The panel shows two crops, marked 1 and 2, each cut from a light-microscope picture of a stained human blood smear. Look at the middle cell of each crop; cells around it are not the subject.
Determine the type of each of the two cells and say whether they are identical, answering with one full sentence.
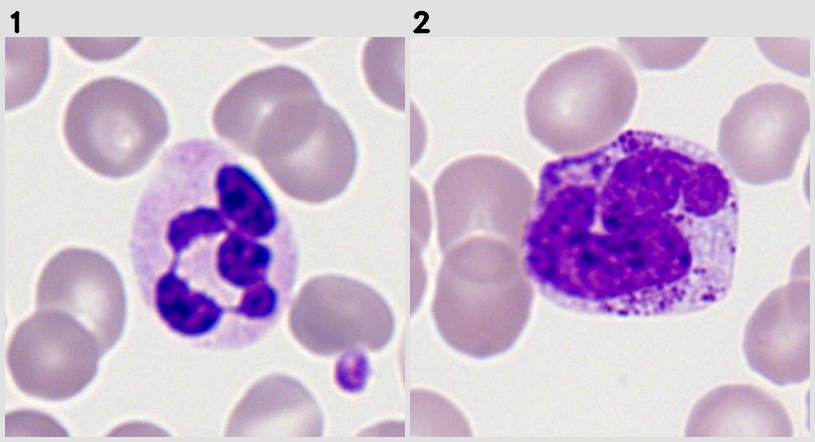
No, in crop 2 the central cell is a basophil, and in crop 1 it is a neutrophil.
